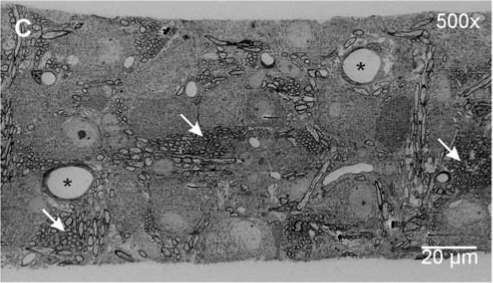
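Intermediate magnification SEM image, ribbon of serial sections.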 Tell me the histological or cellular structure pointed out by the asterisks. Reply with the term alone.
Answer: Blood vessels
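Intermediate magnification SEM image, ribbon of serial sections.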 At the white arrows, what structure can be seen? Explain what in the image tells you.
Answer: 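The arrows point to clusters of many small round profiles. Each profile has a dark ring around a pale centre. The clusters run as streaks between paler cell bodies.
Axon bundles.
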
